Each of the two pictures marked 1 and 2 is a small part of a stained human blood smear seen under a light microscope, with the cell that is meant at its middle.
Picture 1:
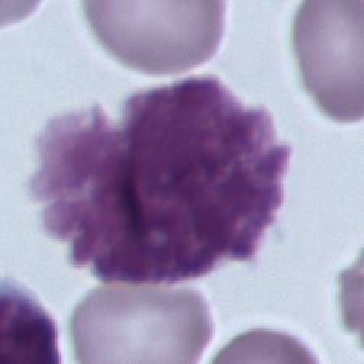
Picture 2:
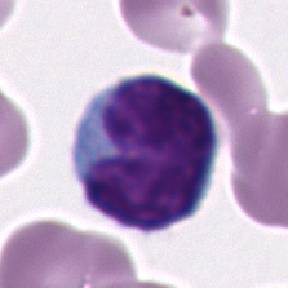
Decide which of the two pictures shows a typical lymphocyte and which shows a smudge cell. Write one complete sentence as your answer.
Picture 2 shows a typical lymphocyte, while picture 1 shows a smudge cell.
